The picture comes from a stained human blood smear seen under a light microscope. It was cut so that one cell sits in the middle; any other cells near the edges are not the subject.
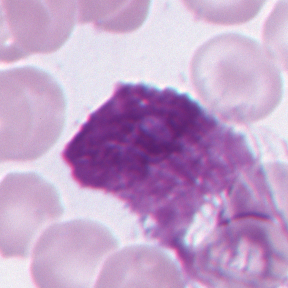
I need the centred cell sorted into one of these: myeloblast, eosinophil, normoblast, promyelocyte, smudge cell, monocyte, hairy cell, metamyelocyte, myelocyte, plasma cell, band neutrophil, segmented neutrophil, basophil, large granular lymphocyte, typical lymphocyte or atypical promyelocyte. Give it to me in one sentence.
Classification of the middle cell gives a smudge cell.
